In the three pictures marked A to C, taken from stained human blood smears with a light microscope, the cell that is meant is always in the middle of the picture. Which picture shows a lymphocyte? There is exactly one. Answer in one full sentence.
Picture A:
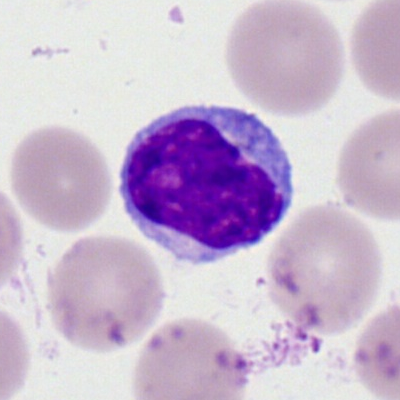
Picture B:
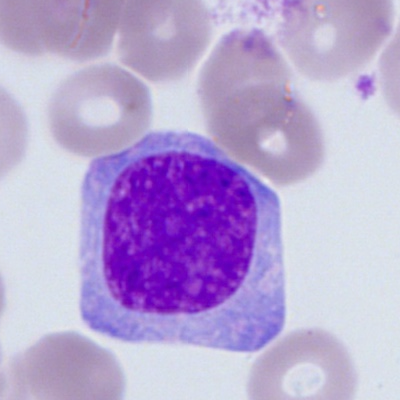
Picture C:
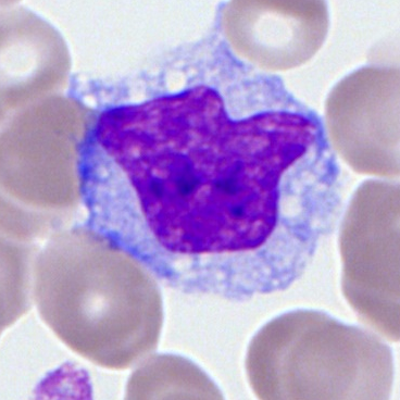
Picture A shows the lymphocyte.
